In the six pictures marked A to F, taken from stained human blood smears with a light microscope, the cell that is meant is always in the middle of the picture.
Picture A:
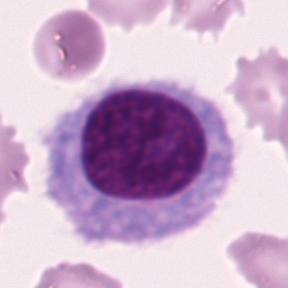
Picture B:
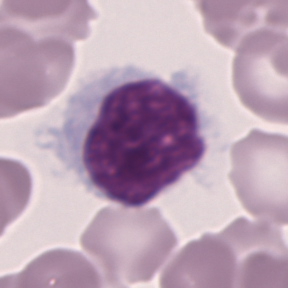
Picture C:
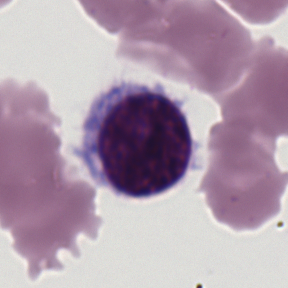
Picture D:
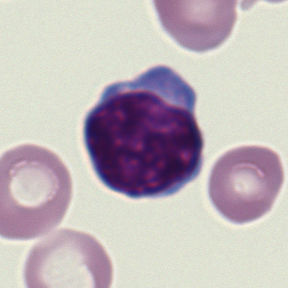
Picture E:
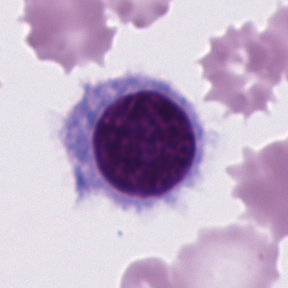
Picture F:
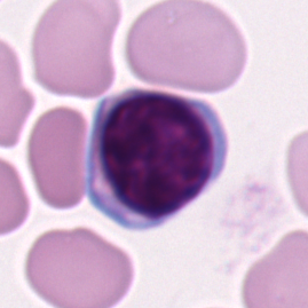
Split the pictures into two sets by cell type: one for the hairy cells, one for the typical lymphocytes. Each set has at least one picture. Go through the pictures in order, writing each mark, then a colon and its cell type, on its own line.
A: hairy cell
B: hairy cell
C: hairy cell
D: typical lymphocyte
E: hairy cell
F: typical lymphocyte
